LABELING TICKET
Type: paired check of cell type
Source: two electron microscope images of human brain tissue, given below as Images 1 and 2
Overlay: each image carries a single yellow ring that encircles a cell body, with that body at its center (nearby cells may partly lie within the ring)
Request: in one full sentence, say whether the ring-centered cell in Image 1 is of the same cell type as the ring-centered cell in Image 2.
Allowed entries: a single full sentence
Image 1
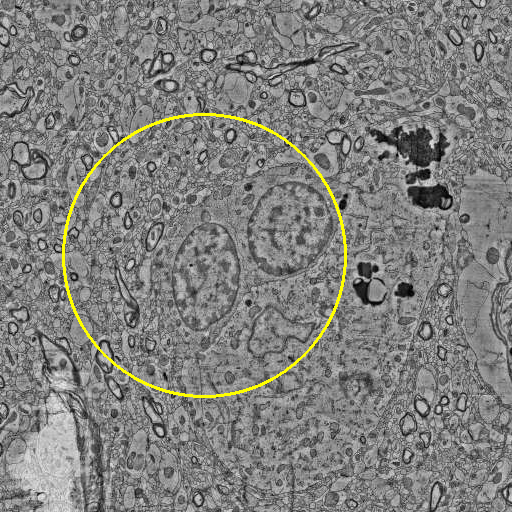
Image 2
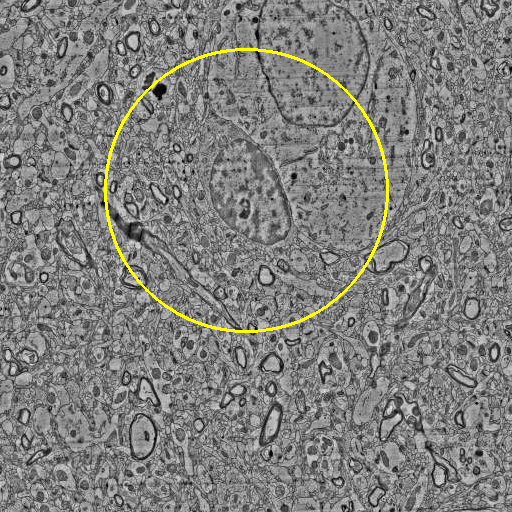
Yes, the cells centered in the rings of Image 1 and Image 2 share one type.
